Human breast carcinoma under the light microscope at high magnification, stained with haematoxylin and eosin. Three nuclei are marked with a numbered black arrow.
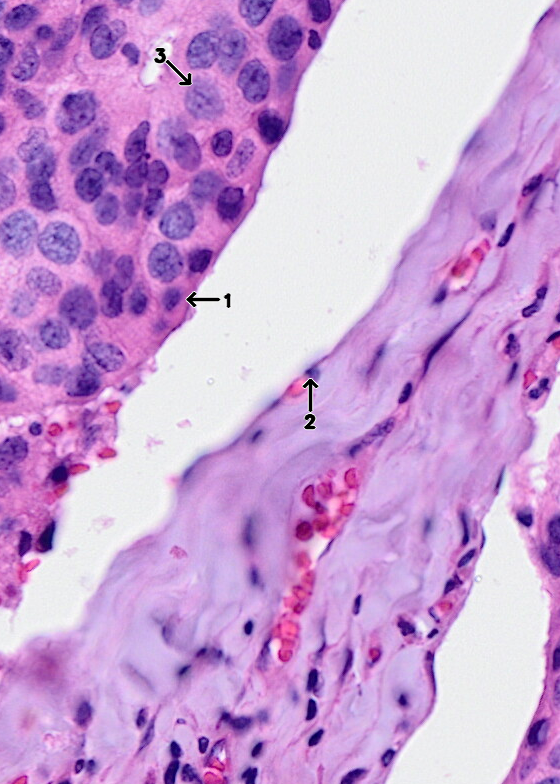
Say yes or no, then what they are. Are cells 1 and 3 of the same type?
Yes: cells 1 and 3 are both carcinoma cells.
